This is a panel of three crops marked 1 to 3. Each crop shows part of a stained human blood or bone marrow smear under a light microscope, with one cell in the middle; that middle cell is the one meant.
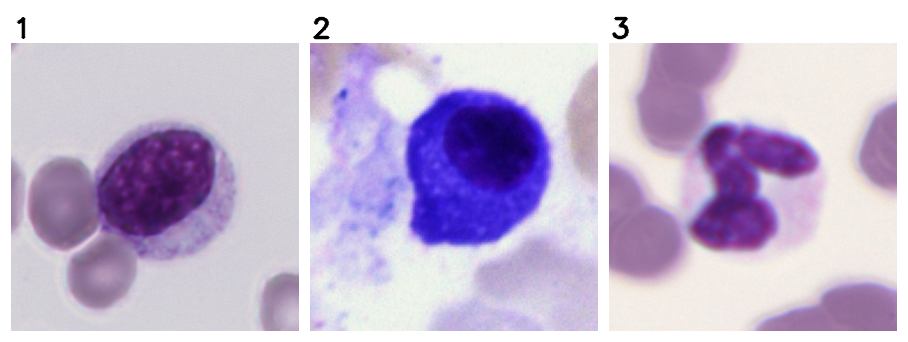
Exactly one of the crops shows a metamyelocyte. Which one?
1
